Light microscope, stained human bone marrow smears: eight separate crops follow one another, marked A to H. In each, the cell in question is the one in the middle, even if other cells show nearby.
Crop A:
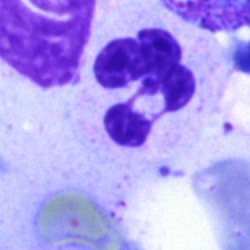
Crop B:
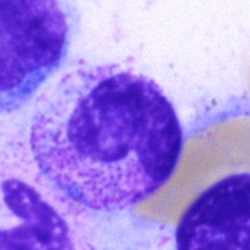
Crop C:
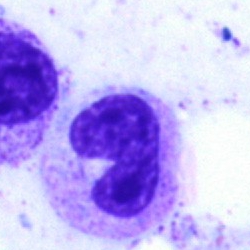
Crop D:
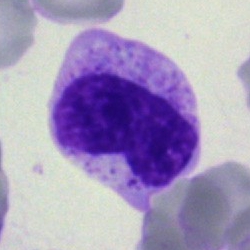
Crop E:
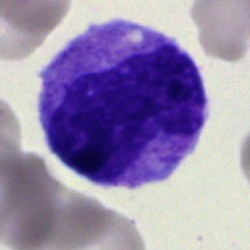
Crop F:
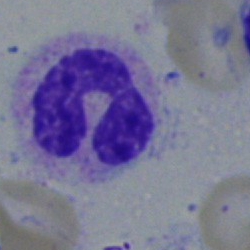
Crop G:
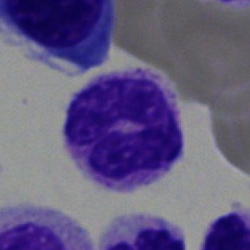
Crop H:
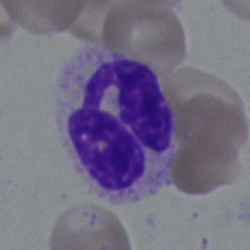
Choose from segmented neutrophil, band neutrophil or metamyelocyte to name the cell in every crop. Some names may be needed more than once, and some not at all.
A: segmented neutrophil
B: metamyelocyte
C: band neutrophil
D: metamyelocyte
E: metamyelocyte
F: band neutrophil
G: band neutrophil
H: segmented neutrophil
